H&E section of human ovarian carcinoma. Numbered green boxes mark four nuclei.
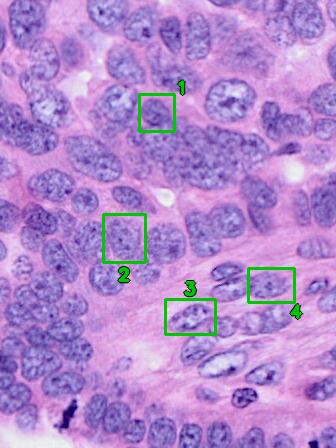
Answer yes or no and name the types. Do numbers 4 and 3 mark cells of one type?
Yes, both are fibroblasts.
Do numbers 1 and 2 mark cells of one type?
Yes, both are carcinoma cells.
